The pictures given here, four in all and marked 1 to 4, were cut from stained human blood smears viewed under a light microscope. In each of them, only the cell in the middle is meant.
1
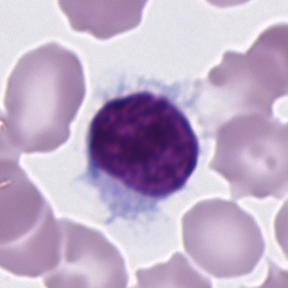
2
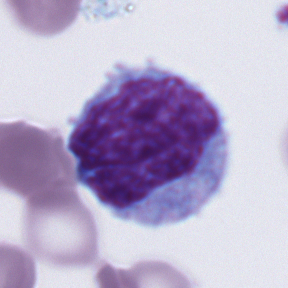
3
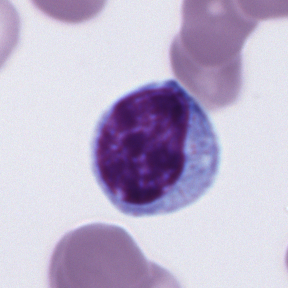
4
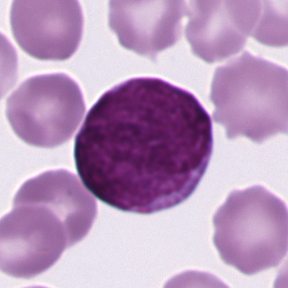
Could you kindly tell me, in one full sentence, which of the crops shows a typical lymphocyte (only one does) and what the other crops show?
Crop 3 features a typical lymphocyte, while crop 1 is a hairy cell, crop 2 is a monocyte and crop 4 is a myeloblast.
